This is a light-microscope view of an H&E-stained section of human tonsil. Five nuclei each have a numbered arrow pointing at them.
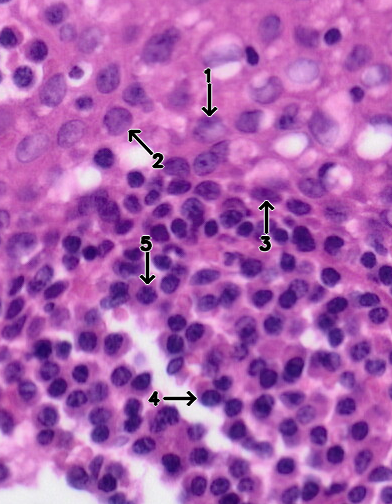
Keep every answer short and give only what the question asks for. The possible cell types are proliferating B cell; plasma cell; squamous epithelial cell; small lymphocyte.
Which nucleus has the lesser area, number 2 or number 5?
5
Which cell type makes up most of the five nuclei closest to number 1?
squamous epithelial cell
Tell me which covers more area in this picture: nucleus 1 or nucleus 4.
1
